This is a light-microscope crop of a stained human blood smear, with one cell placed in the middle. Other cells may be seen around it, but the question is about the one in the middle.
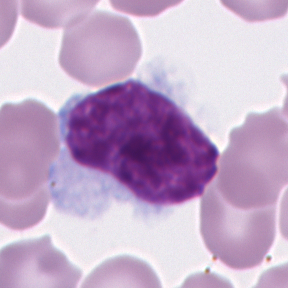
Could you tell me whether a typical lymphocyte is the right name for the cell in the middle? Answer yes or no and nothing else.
no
